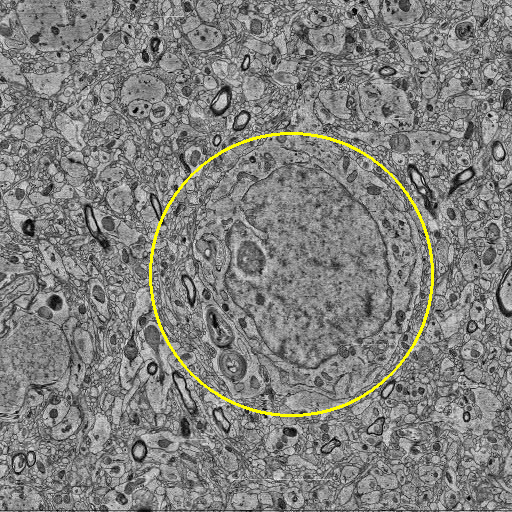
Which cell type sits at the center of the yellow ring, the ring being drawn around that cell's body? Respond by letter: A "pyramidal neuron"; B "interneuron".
B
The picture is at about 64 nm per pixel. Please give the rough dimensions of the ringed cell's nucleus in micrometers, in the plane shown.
The nucleus is approximately 14 micrometers long by 11 micrometers wide in this plane.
